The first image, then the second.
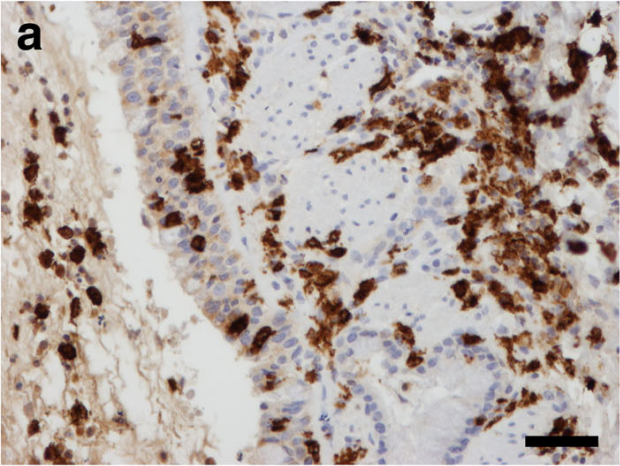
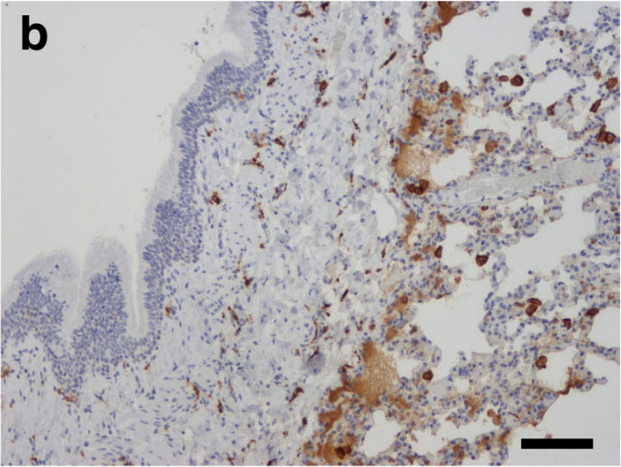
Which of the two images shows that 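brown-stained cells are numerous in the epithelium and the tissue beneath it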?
The first image.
